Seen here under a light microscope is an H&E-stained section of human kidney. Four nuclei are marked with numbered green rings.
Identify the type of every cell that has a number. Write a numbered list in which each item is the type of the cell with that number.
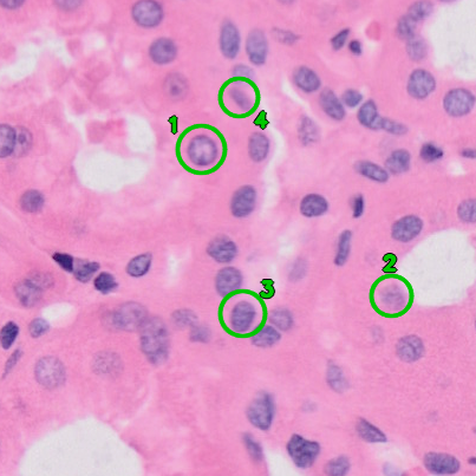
1. proximal tubule cell
2. loop of Henle or distal tubule cell
3. collecting duct cell
4. collecting duct cell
